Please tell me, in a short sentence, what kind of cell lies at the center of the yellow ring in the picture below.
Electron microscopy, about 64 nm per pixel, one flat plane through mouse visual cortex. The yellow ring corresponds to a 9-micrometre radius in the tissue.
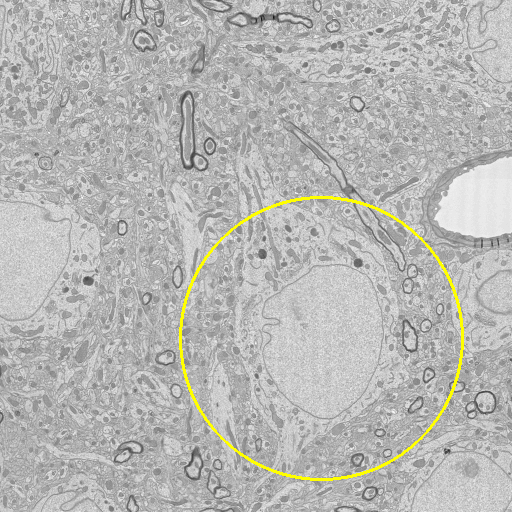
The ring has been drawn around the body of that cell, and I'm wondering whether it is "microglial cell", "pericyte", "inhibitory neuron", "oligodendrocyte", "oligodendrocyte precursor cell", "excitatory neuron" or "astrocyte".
The cell at the center of the ring is an excitatory neuron.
